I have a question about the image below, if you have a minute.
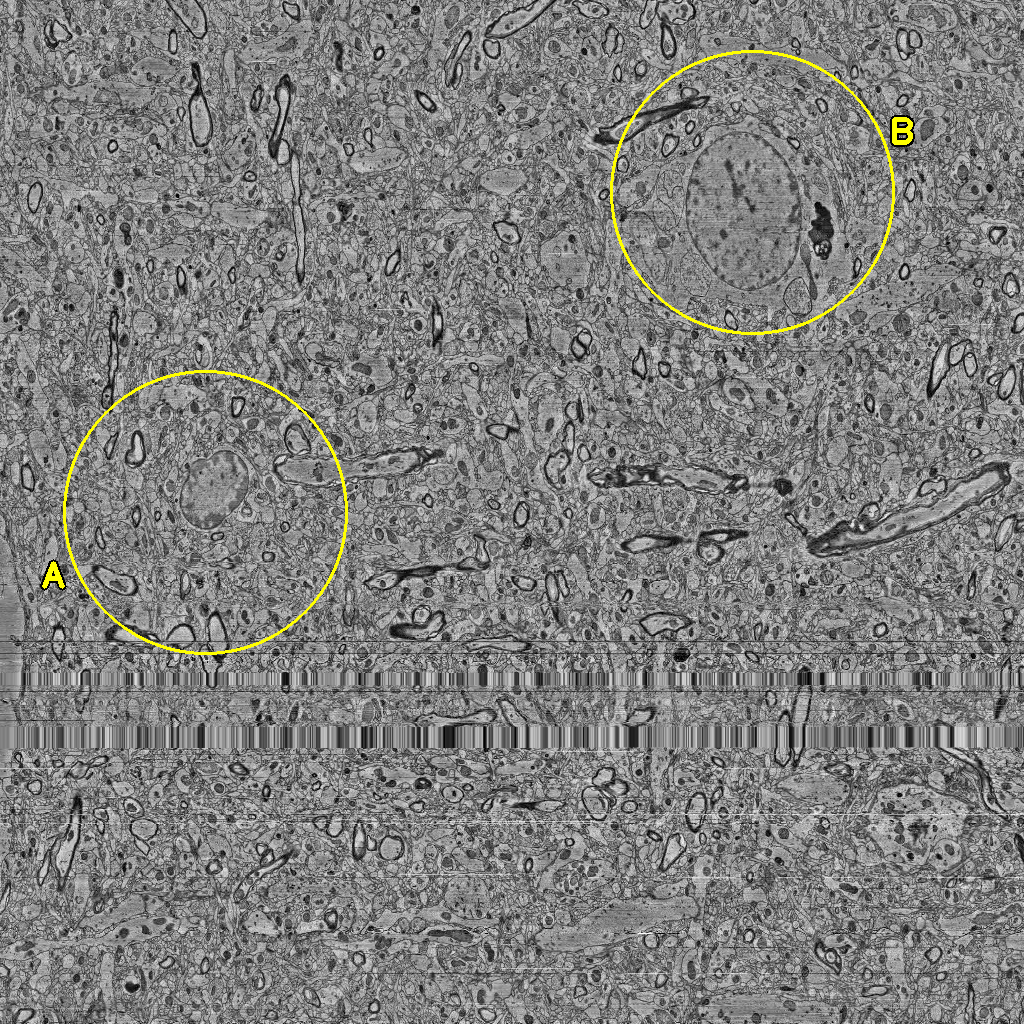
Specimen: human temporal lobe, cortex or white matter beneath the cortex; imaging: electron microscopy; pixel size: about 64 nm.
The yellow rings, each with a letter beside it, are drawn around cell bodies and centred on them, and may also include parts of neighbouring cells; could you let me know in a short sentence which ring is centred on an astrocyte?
Ring B is centred on it.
